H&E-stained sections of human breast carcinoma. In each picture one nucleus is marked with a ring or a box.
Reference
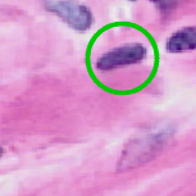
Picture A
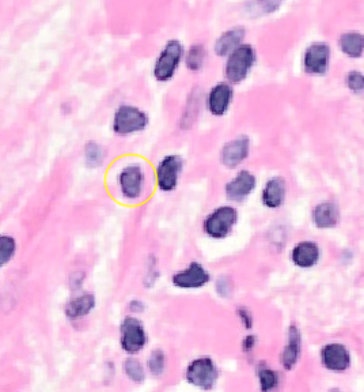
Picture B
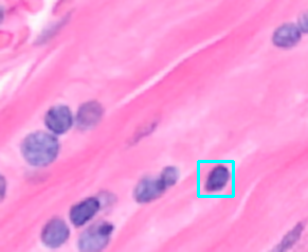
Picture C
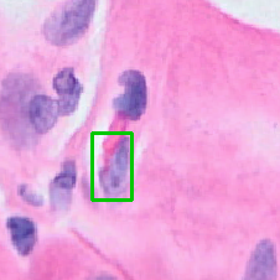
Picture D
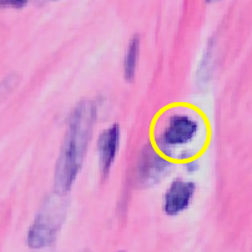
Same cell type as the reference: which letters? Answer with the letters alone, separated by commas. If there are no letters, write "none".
A, B, D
